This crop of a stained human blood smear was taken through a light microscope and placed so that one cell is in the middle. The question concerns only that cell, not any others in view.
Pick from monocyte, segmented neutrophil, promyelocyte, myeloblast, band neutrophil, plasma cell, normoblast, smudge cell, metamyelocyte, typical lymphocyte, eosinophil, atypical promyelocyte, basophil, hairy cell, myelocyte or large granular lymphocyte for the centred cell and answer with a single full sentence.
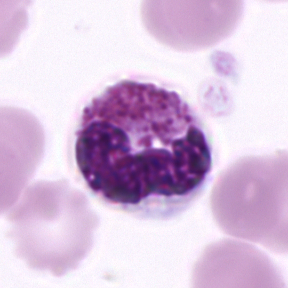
In the middle of this smear crop is an eosinophil.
